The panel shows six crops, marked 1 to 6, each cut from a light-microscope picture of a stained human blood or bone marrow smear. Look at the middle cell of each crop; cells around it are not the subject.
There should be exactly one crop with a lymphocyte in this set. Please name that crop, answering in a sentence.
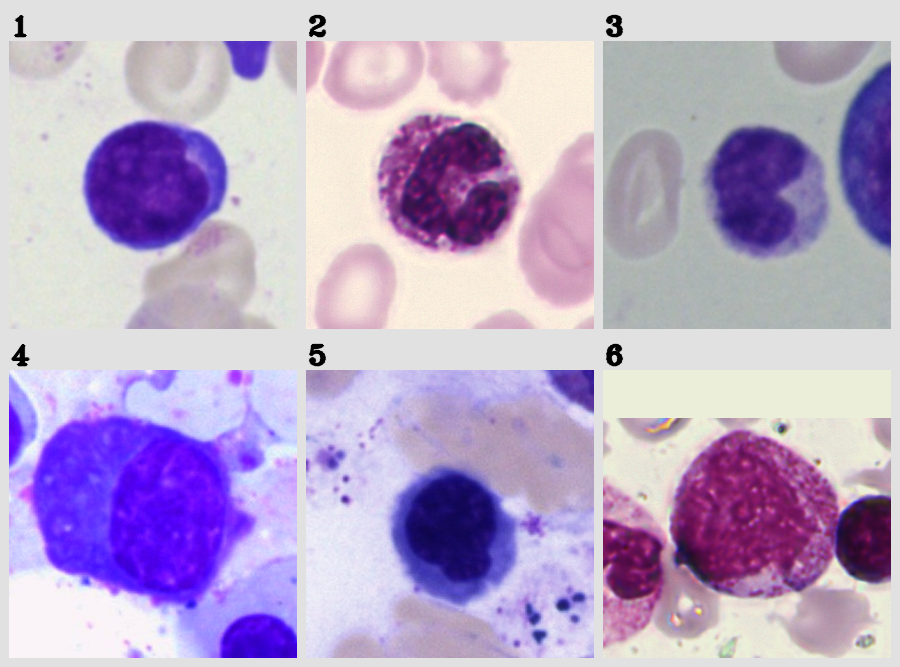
Crop 1 shows a lymphocyte, and no other crop does.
